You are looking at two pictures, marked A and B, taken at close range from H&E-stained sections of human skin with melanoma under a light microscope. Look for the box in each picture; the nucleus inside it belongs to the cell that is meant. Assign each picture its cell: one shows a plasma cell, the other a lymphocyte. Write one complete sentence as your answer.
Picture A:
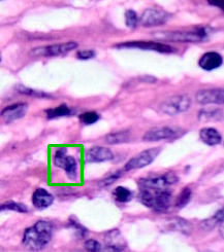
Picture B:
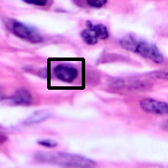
In picture A the cell is a lymphocyte; in picture B, a plasma cell.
